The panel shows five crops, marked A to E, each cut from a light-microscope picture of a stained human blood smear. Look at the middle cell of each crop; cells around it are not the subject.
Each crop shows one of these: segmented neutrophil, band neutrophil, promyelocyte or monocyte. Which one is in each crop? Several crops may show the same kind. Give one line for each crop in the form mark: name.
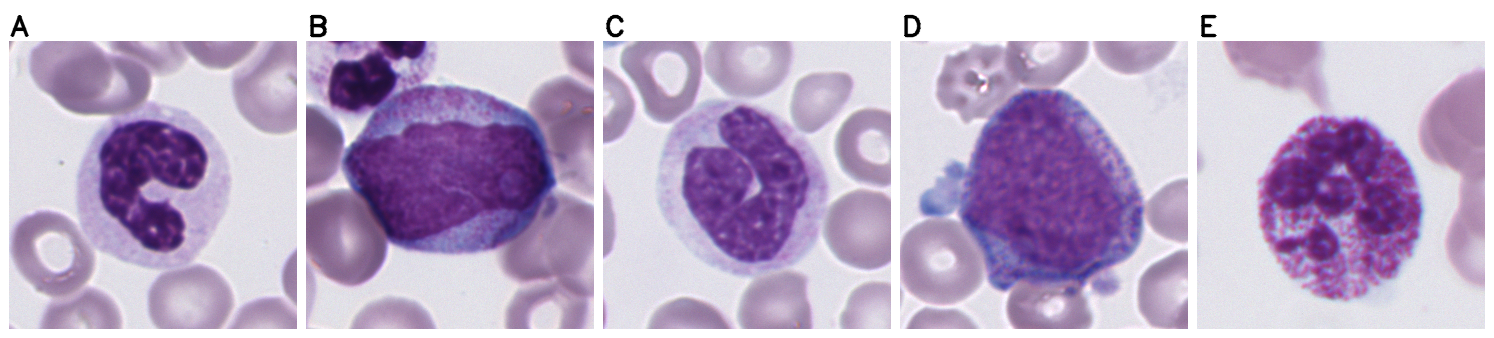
A: band neutrophil
B: promyelocyte
C: band neutrophil
D: promyelocyte
E: segmented neutrophil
